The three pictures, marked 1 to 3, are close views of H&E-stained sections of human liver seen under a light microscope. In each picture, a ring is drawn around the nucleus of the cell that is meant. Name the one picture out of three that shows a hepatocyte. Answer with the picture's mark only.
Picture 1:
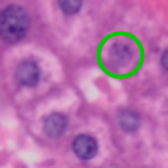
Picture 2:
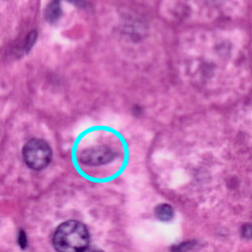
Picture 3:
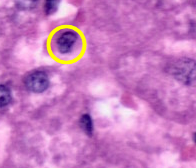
1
